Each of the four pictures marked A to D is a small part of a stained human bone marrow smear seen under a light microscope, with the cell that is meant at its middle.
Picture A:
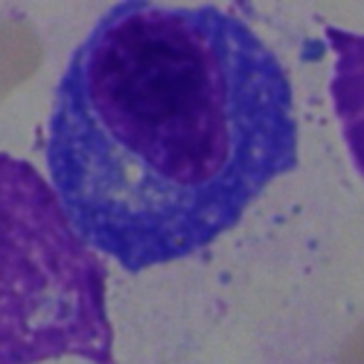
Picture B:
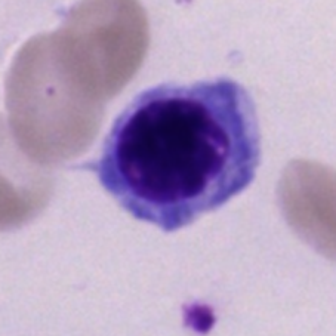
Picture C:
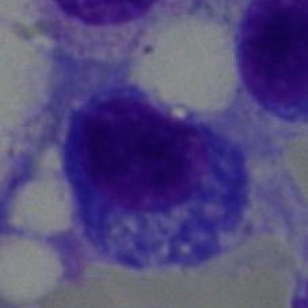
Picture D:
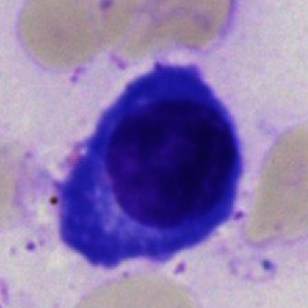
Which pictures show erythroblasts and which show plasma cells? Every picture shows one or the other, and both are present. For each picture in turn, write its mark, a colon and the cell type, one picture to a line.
A: plasma cell
B: erythroblast
C: plasma cell
D: plasma cell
